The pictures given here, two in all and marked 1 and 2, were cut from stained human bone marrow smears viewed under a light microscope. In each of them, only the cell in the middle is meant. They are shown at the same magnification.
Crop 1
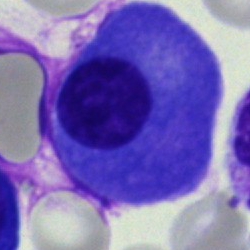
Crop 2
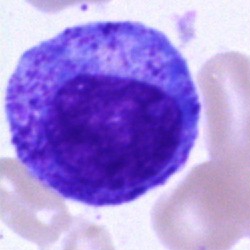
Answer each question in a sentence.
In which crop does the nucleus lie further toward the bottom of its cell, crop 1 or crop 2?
It is the nucleus in crop 2 that lies further toward the bottom of its cell.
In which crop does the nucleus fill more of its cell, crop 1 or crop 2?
The nucleus fills more of the cell in crop 2 than in crop 1.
